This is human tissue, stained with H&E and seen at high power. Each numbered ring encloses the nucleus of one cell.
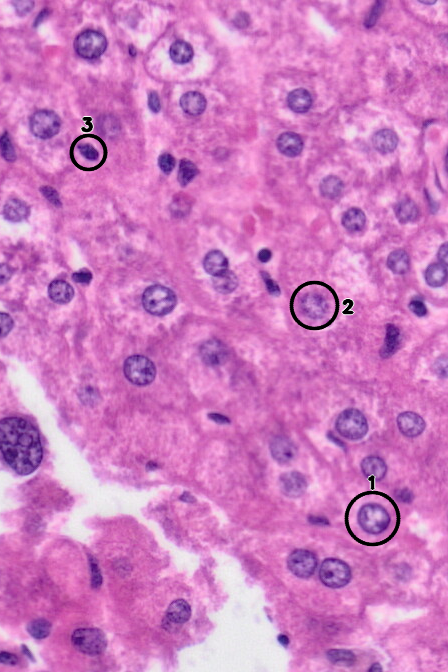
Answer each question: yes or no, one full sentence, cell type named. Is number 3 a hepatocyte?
No, sorry, the cell labelled 3 is not a hepatocyte; it is a lymphocyte.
